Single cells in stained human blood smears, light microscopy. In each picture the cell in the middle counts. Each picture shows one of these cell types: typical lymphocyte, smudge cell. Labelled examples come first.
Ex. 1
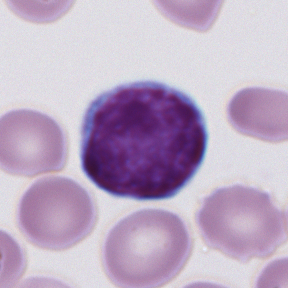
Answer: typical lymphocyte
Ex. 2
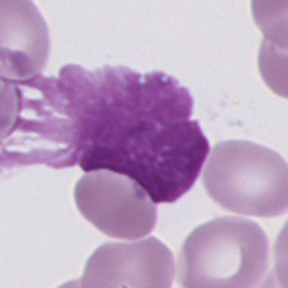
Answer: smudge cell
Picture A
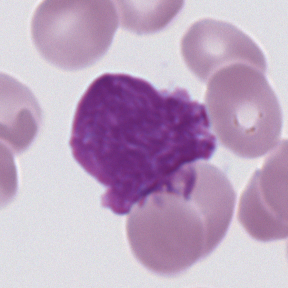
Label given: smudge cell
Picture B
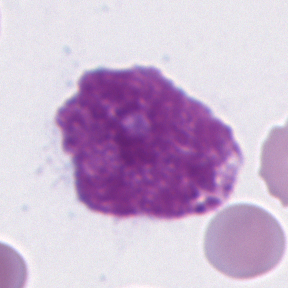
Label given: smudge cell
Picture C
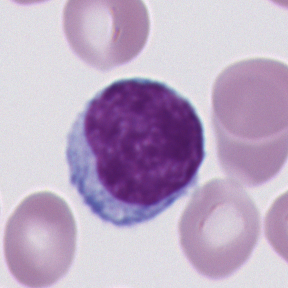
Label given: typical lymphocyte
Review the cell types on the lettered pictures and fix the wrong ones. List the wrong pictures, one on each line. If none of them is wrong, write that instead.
Nothing to fix; every label fits.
